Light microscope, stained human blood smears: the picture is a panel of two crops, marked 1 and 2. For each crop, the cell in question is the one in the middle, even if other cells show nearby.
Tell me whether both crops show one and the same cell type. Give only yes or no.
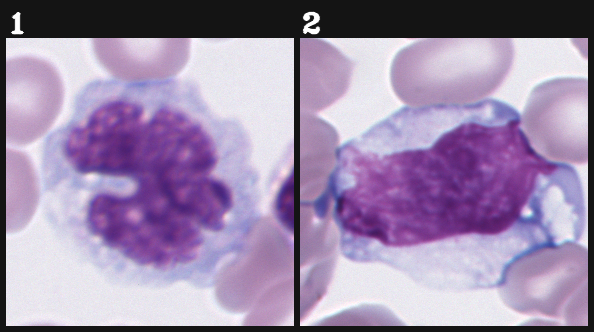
yes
